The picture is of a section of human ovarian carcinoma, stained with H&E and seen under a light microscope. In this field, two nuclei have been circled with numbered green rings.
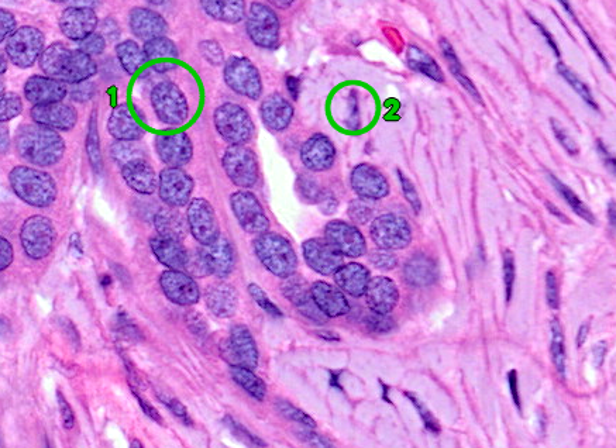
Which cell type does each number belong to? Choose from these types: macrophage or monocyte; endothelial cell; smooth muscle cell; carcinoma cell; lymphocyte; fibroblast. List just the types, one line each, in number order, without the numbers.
carcinoma cell
fibroblast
